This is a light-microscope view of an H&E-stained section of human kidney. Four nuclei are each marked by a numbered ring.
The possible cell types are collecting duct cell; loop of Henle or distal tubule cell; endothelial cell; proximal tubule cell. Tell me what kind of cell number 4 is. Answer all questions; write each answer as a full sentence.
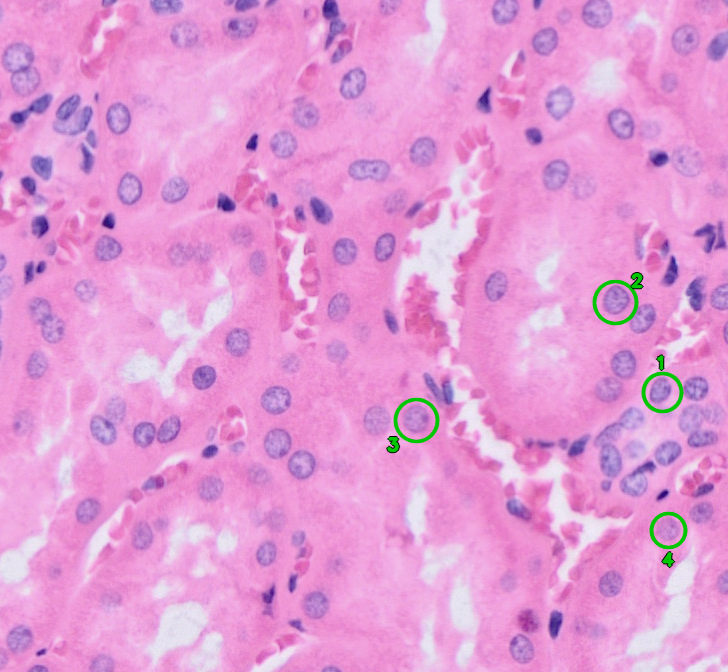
The cell numbered 4 represents a proximal tubule cell.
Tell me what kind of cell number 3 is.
Cell 3 of the marked set is a proximal tubule cell.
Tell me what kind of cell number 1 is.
The mark numbered 1 indicates the nucleus of a collecting duct cell.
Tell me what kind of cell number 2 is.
The cell pointed out as number 2 is a proximal tubule cell.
